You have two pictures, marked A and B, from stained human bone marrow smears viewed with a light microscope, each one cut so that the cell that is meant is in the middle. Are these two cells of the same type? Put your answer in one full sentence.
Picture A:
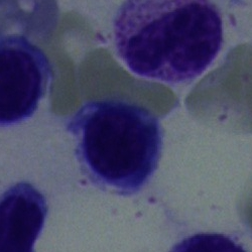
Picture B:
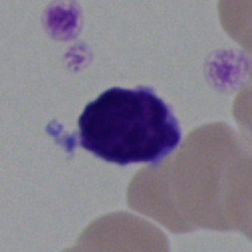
Yes, both cells are lymphocytes.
